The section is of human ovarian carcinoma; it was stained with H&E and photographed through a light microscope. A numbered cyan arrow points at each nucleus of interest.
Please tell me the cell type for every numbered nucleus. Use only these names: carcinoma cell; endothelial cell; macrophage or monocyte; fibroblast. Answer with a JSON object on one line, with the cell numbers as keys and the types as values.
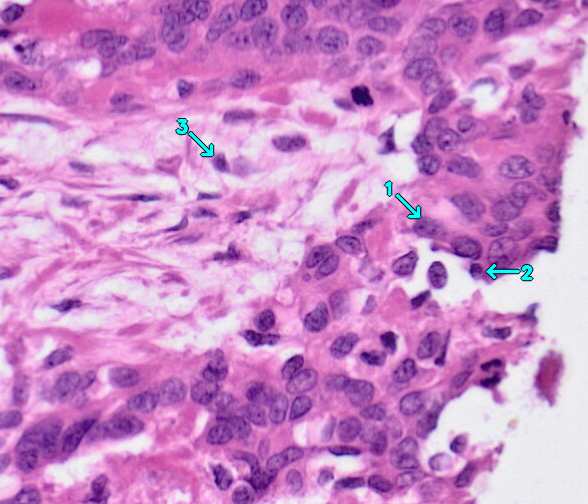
{"1": "carcinoma cell", "2": "carcinoma cell", "3": "fibroblast"}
